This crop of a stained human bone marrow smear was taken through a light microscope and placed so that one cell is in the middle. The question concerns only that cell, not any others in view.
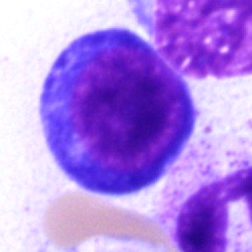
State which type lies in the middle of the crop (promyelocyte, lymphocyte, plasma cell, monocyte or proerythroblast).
proerythroblast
